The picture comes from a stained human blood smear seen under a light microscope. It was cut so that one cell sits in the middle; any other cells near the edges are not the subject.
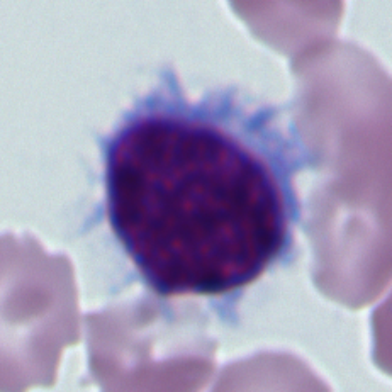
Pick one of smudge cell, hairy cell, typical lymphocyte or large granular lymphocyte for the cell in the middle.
hairy cell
